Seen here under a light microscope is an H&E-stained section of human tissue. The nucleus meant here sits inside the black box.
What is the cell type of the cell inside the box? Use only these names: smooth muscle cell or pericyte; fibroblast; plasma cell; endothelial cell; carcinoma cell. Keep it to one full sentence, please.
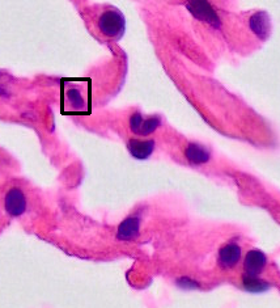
It is as an endothelial cell that the cell inside the box is recorded.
